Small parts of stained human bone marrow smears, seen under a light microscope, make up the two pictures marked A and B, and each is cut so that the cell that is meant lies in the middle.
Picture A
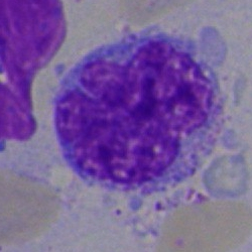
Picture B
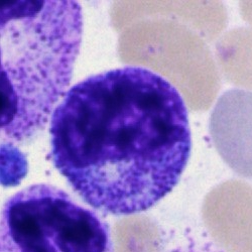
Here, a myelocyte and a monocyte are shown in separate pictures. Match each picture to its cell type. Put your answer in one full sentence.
It is picture A that shows a monocyte, and picture B that shows a myelocyte.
